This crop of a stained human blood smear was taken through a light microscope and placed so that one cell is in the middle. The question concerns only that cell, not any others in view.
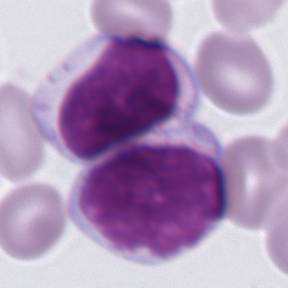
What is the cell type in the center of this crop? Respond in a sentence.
The cell centred in this crop is categorized as a large granular lymphocyte.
